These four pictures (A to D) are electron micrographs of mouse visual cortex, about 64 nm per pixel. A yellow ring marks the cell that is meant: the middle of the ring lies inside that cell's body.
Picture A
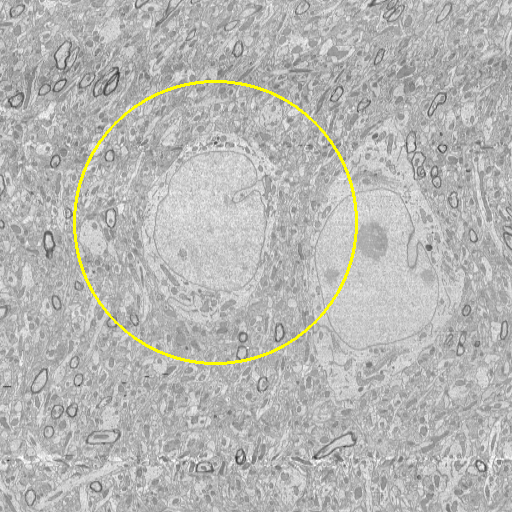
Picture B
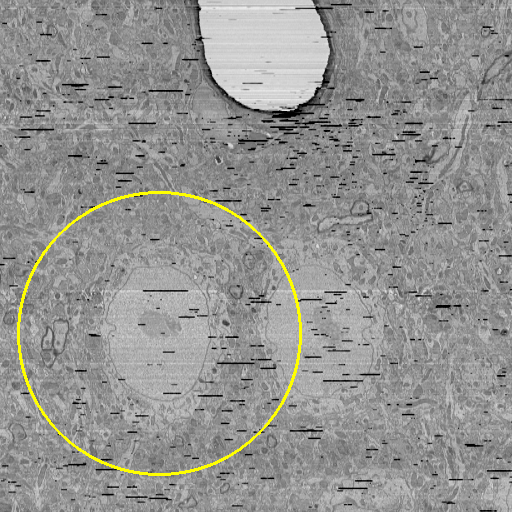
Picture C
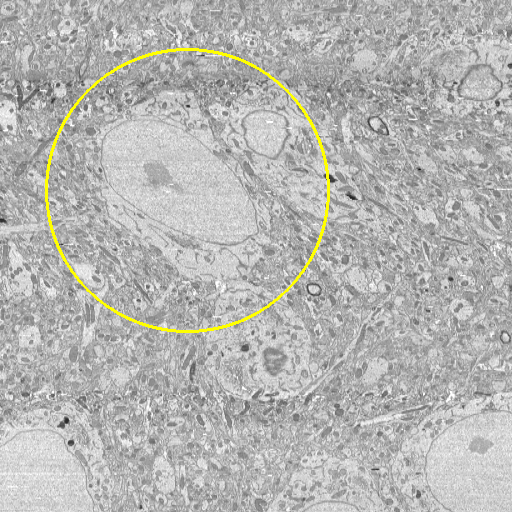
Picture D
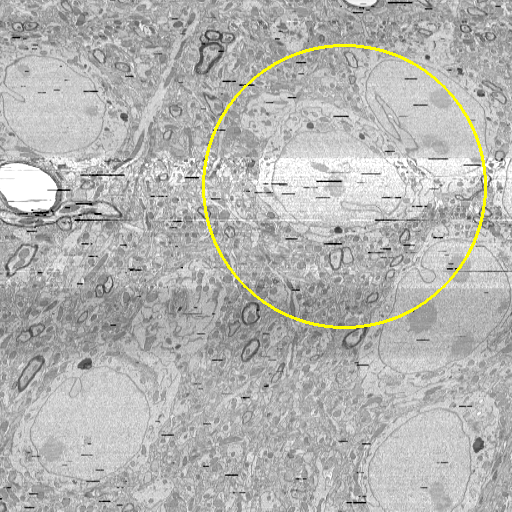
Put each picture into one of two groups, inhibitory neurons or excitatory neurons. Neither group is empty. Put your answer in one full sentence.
Pictures A and D show inhibitory neurons, and pictures B and C show excitatory neurons.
